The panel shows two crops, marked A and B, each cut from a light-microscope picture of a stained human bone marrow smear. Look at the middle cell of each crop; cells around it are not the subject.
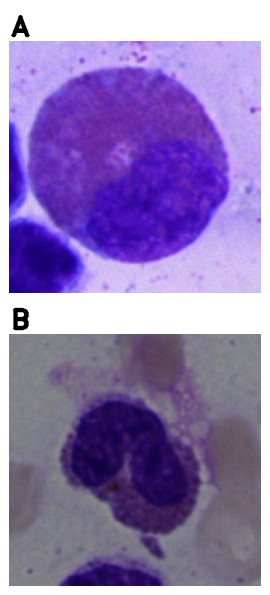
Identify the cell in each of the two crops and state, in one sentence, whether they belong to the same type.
Yes, put down eosinophils for both crops.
